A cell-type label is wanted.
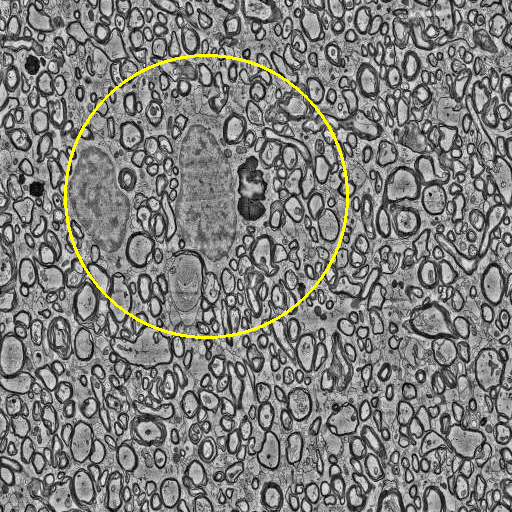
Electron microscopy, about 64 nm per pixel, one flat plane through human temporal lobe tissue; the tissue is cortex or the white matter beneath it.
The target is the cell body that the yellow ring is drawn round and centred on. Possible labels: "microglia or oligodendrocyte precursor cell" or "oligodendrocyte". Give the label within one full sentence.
Of the labels offered, the cell in the middle of the yellow ring is an oligodendrocyte.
